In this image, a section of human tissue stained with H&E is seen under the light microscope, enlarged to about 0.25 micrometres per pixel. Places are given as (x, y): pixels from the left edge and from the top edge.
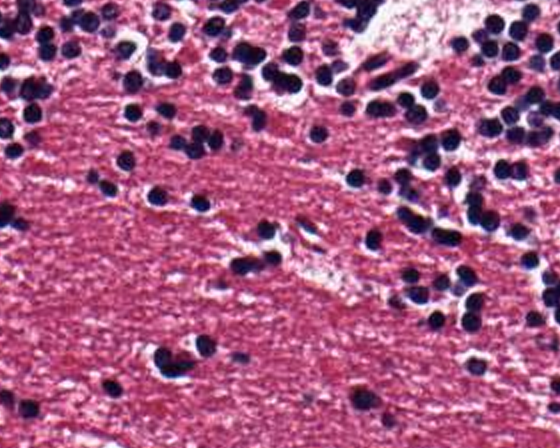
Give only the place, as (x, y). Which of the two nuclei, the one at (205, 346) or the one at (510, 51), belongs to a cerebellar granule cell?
(510, 51)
